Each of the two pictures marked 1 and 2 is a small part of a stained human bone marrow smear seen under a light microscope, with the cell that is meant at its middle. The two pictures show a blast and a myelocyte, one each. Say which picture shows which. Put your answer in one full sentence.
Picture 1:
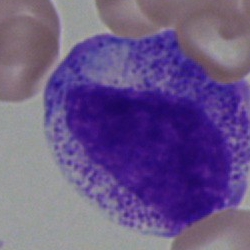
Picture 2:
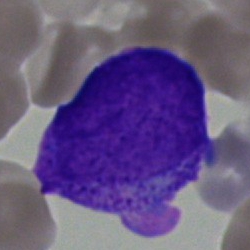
Picture 2 shows a blast, while picture 1 shows a myelocyte.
